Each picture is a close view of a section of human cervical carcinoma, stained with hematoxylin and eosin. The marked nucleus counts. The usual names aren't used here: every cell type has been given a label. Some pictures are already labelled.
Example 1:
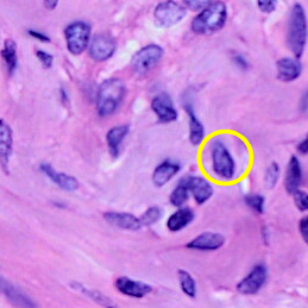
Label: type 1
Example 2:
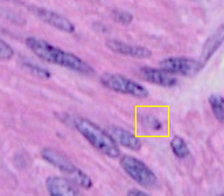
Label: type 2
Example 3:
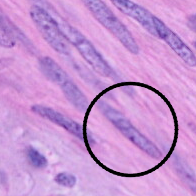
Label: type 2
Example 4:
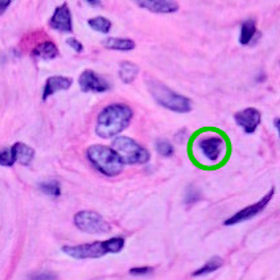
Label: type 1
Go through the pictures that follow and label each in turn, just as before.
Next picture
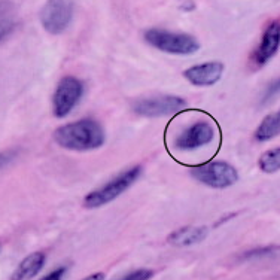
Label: type 1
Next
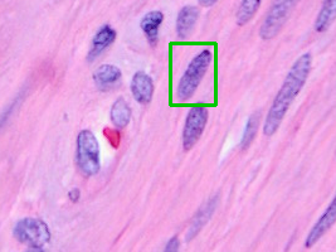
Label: type 1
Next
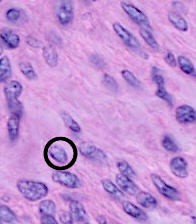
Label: type 2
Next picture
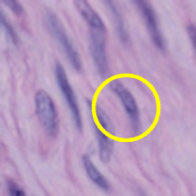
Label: type 2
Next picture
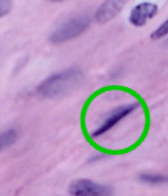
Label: type 1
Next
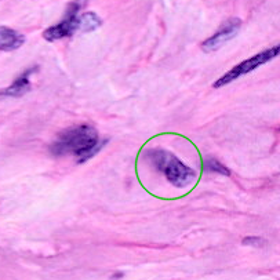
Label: type 1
